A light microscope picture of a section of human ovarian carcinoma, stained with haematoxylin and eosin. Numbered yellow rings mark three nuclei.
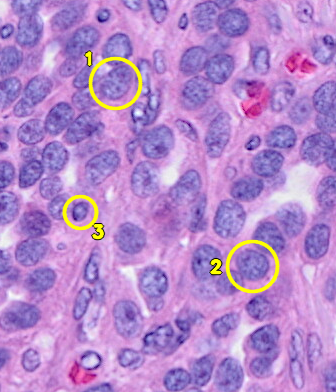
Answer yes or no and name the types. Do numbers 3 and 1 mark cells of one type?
No, cell 3 is a macrophage or monocyte and cell 1 is a carcinoma cell.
